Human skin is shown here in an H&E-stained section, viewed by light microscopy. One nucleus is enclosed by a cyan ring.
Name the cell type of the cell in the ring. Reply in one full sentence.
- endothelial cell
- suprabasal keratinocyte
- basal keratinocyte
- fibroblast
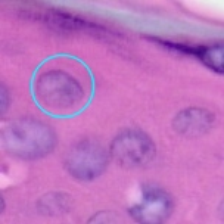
As classified here, the cell in the ring is a suprabasal keratinocyte.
